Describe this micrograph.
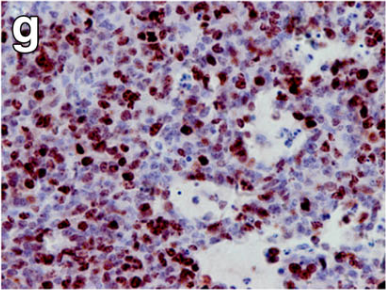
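The stained nuclei are spread throughout the sheet rather than confined to one layer. Small clear spaces lie scattered among the cells.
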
